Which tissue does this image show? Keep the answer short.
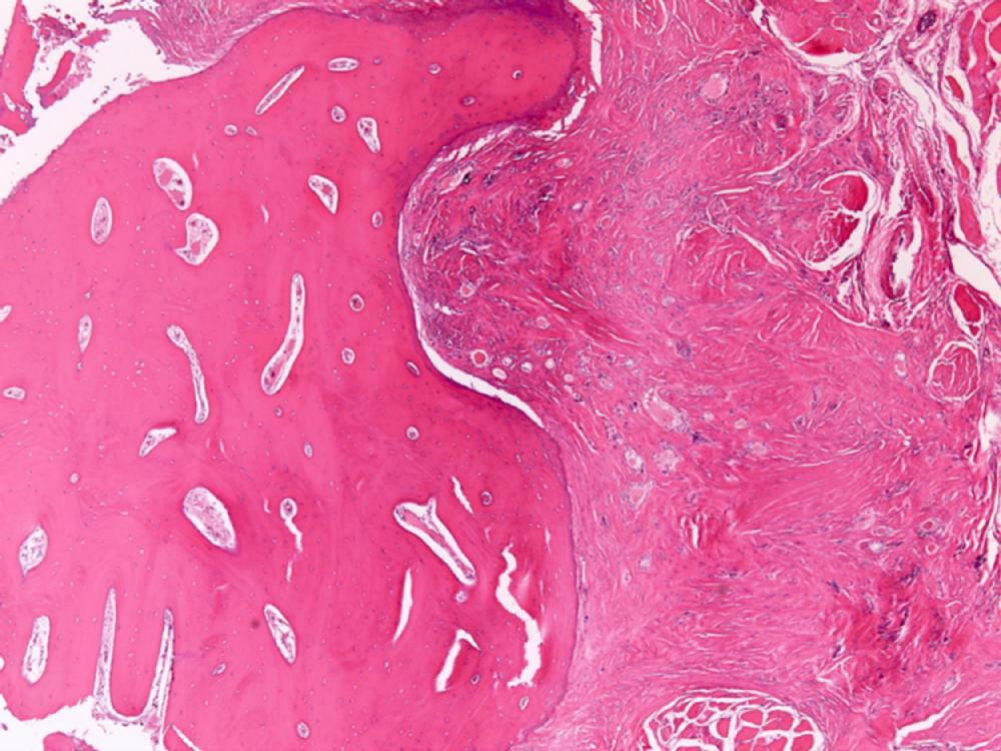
Bone.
